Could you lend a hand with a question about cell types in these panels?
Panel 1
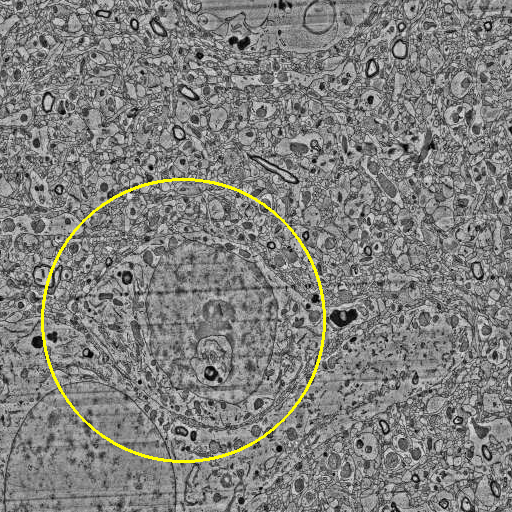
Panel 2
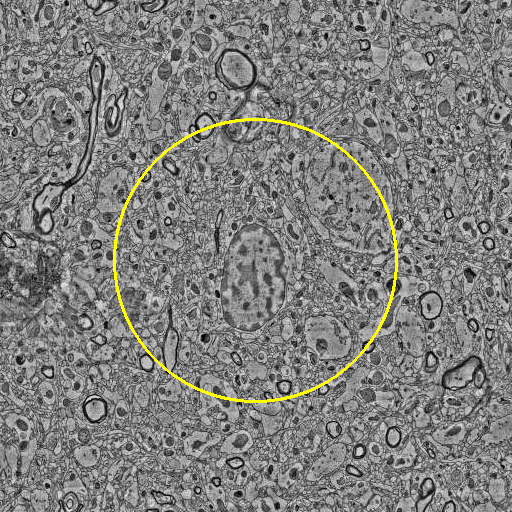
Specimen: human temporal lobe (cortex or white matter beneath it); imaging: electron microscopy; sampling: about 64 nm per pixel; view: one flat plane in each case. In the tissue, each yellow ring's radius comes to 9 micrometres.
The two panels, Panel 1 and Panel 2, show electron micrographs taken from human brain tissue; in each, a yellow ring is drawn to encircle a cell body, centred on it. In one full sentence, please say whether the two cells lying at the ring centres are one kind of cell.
No, the cells at the ring centres in the two panels are two kinds of cell.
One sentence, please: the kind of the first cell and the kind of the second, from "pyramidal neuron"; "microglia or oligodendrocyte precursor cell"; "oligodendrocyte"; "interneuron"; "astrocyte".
The ring in the first picture surrounds an interneuron, and the ring in the second surrounds a microglial cell or oligodendrocyte precursor cell.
